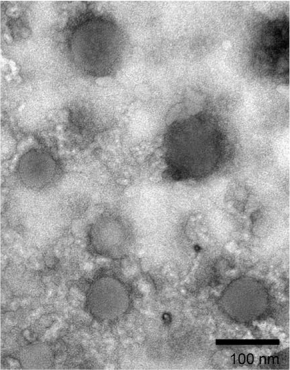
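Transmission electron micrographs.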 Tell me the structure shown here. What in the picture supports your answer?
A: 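Many separate round, membrane-bounded vesicles lie scattered over the field. The vesicles are mostly about as wide as or smaller than the 100 nm scale bar. No cells or nuclei are present, only small particles on a grainy background.
Hence: exosomes.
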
